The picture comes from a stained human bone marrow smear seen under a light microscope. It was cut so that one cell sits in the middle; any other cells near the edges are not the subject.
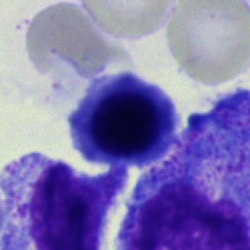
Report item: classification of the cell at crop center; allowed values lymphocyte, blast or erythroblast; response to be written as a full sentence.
Standing at the centre of this crop is an erythroblast.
